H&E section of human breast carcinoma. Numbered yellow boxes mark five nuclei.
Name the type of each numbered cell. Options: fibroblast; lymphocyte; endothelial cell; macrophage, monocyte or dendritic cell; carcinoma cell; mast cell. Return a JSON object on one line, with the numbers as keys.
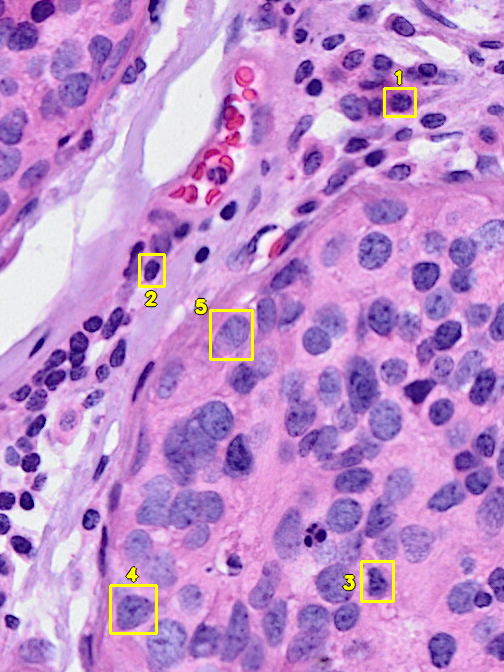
{"1": "mast cell", "2": "lymphocyte", "3": "carcinoma cell", "4": "carcinoma cell", "5": "carcinoma cell"}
